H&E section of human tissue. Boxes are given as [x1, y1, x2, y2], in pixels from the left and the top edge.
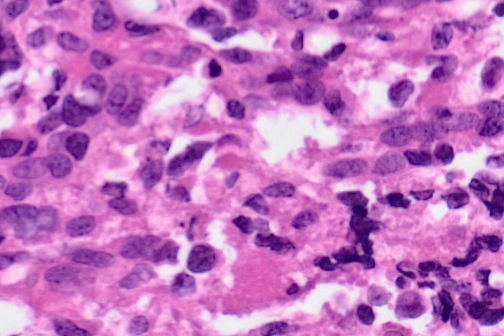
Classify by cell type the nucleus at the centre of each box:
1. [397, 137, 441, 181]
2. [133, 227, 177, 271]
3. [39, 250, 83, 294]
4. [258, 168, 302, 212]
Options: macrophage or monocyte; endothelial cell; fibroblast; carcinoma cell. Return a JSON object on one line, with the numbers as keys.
{"1": "carcinoma cell", "2": "carcinoma cell", "3": "carcinoma cell", "4": "macrophage or monocyte"}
